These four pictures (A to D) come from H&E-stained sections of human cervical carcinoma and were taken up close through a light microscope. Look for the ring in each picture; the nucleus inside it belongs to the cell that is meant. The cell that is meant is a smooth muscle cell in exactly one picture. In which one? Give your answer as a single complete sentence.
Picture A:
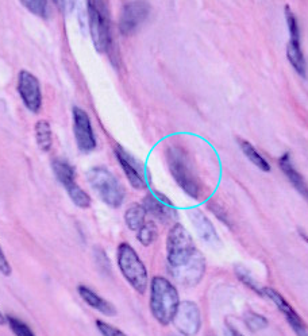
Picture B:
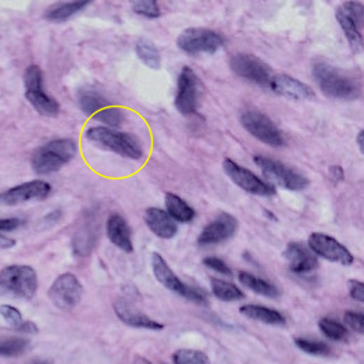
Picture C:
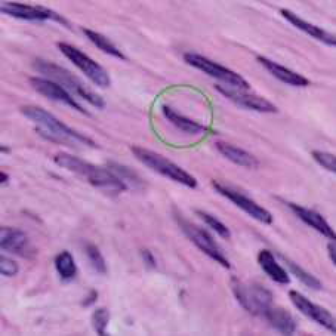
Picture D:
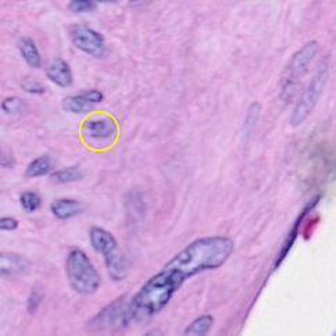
Picture D is the one that shows the smooth muscle cell.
